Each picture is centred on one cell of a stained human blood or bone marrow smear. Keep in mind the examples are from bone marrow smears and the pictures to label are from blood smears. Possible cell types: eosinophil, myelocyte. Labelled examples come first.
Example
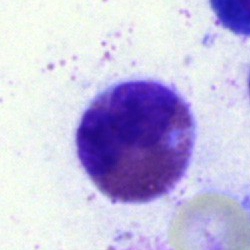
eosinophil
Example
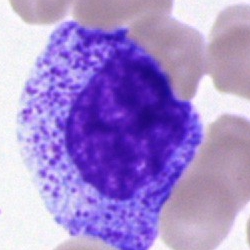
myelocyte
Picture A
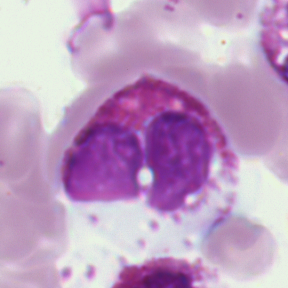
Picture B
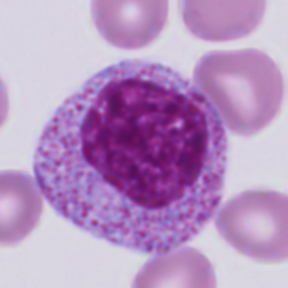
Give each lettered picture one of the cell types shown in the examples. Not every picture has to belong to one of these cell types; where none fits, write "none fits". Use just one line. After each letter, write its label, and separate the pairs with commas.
A eosinophil, B myelocyte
